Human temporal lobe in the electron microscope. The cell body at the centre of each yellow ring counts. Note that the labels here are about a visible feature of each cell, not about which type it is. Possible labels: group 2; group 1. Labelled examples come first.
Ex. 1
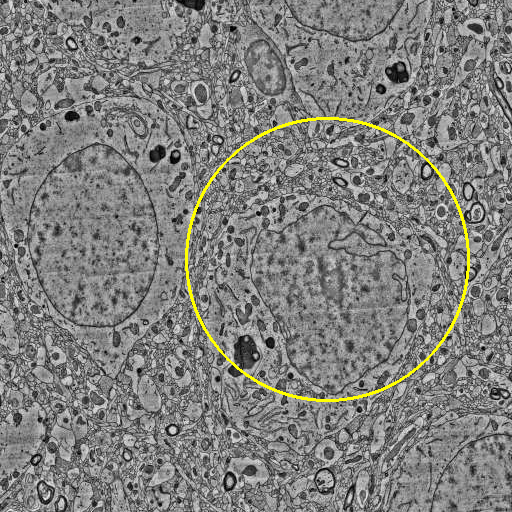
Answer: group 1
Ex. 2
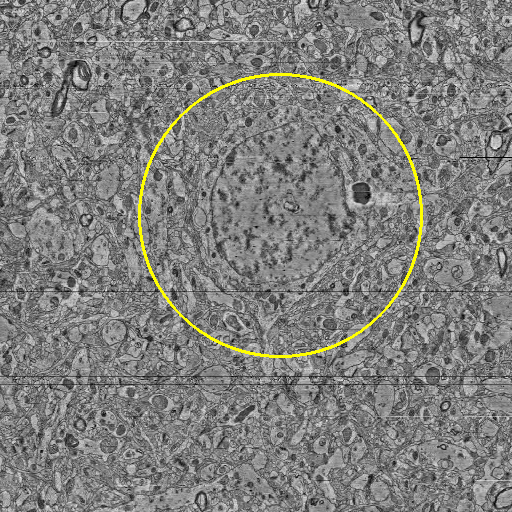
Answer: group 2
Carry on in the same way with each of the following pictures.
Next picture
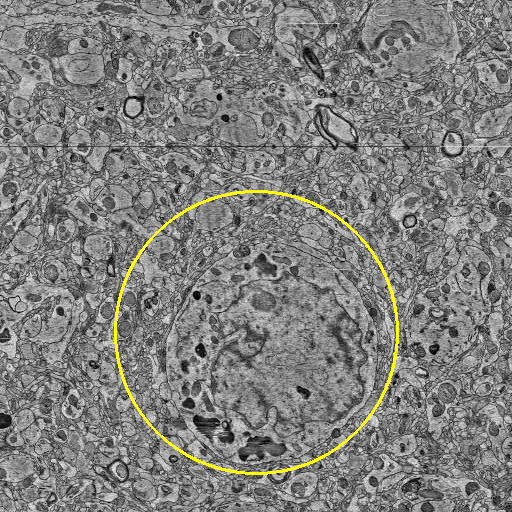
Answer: group 1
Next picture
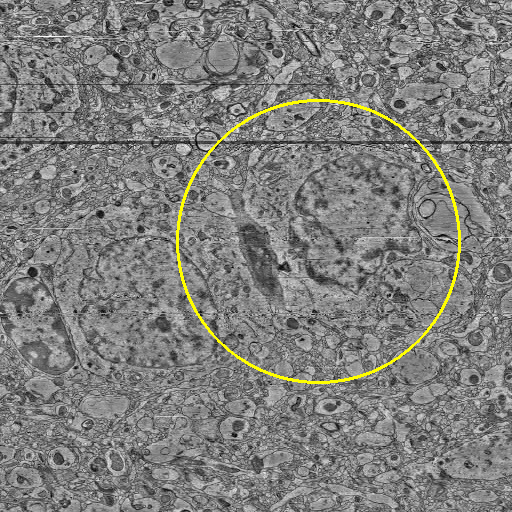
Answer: group 1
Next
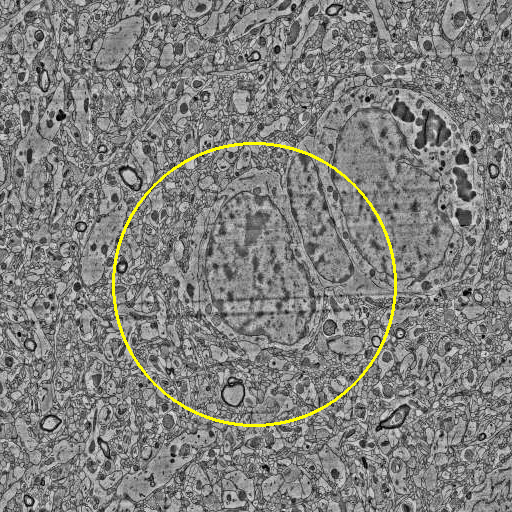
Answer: group 2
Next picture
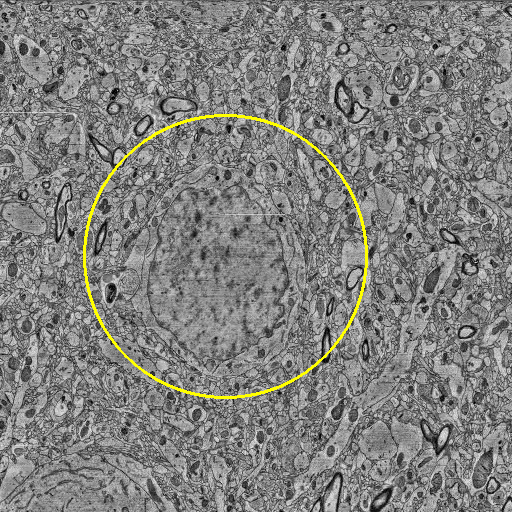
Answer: group 2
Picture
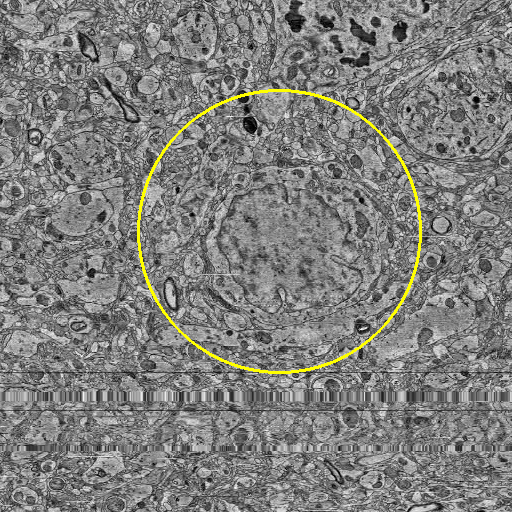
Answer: group 1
